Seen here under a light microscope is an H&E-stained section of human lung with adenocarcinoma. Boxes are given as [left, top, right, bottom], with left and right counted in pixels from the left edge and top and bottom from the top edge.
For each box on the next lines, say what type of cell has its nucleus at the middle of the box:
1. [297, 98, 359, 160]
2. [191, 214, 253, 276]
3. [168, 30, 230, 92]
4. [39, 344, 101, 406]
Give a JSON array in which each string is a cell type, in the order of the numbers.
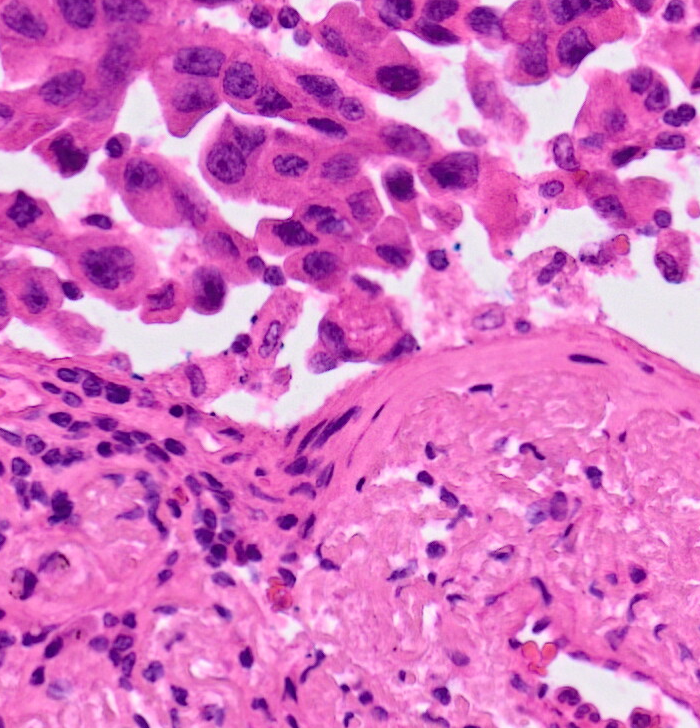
["carcinoma cell", "carcinoma cell", "carcinoma cell", "lymphocyte"]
